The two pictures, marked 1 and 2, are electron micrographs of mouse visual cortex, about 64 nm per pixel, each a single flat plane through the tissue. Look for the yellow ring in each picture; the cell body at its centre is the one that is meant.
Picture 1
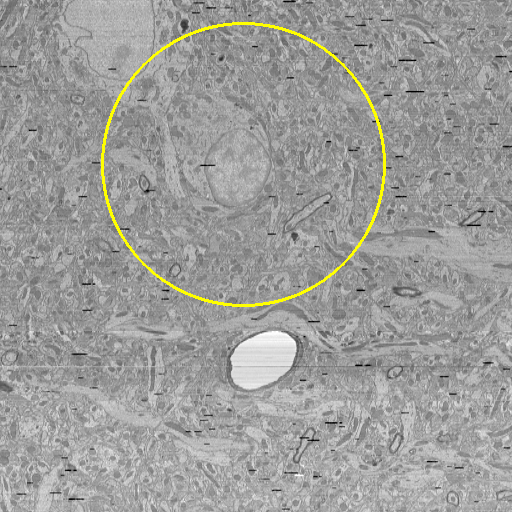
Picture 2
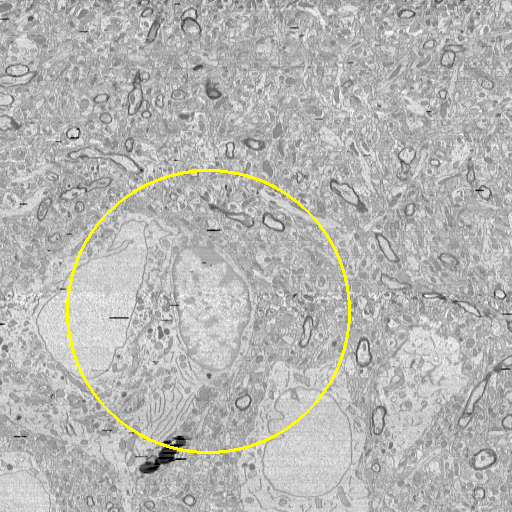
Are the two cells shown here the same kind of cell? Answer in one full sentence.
Yes, both cells are oligodendrocytes.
